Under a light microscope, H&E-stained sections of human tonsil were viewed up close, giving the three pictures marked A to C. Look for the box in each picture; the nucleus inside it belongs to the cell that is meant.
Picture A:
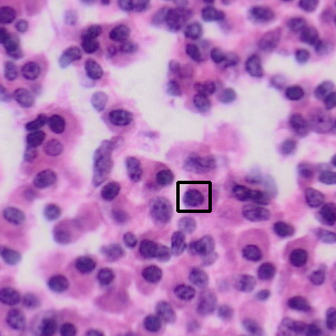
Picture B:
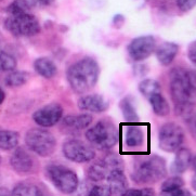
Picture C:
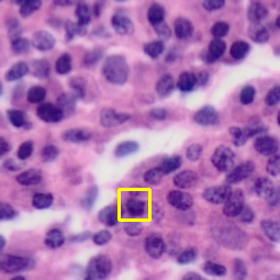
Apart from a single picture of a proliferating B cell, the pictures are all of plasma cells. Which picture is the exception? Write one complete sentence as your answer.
Picture B shows the proliferating B cell.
